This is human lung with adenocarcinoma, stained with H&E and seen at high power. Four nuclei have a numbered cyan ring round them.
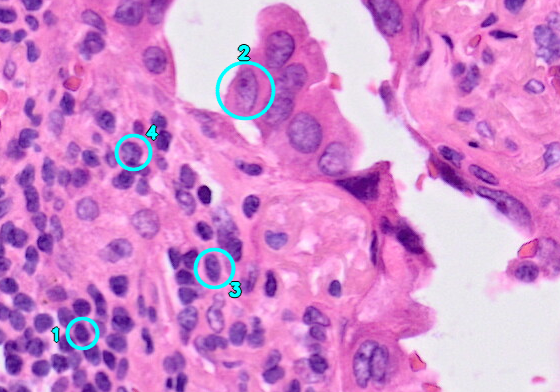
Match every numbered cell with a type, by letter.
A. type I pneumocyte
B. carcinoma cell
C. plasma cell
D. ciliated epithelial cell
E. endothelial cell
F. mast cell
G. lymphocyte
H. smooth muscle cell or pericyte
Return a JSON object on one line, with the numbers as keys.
{"1": "G", "2": "B", "3": "G", "4": "G"}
